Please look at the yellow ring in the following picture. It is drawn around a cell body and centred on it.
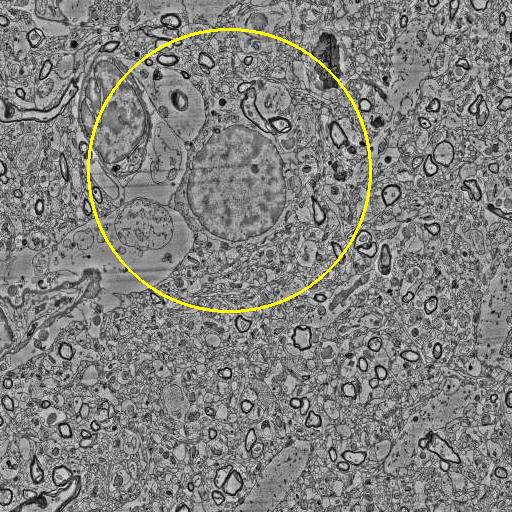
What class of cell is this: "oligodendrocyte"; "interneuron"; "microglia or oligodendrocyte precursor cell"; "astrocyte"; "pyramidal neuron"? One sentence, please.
The ring surrounds the cell body of an oligodendrocyte.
